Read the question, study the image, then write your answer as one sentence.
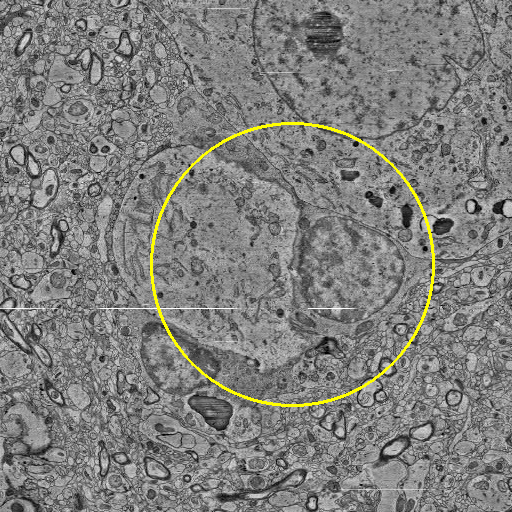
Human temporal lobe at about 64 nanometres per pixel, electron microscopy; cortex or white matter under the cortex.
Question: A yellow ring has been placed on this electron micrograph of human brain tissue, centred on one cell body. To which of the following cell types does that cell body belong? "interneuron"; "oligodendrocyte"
That cell body belongs to an oligodendrocyte.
